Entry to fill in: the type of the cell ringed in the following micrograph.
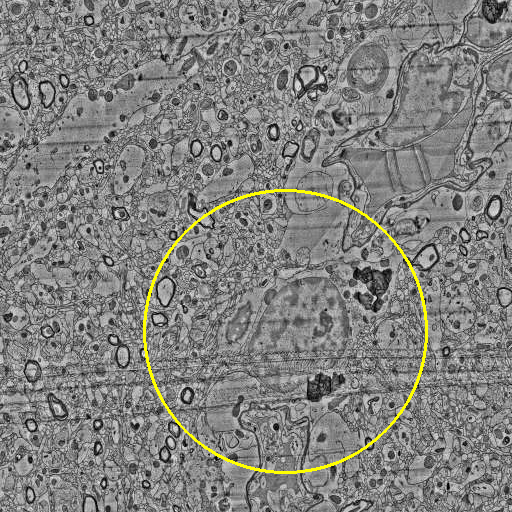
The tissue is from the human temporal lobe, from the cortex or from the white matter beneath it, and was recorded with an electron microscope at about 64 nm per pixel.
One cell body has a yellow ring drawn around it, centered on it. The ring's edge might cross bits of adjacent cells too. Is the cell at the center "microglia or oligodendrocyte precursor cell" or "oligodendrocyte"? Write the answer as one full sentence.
This entry names an oligodendrocyte as the cell whose body lies at the ring's center.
